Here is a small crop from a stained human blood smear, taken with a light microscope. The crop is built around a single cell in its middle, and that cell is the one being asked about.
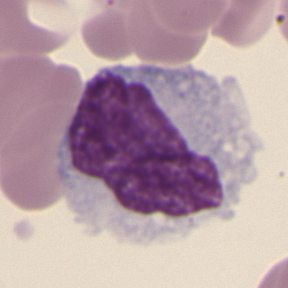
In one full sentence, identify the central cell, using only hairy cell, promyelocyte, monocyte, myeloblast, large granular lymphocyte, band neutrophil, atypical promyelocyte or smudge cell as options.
Occupying the centre of the crop is a monocyte.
